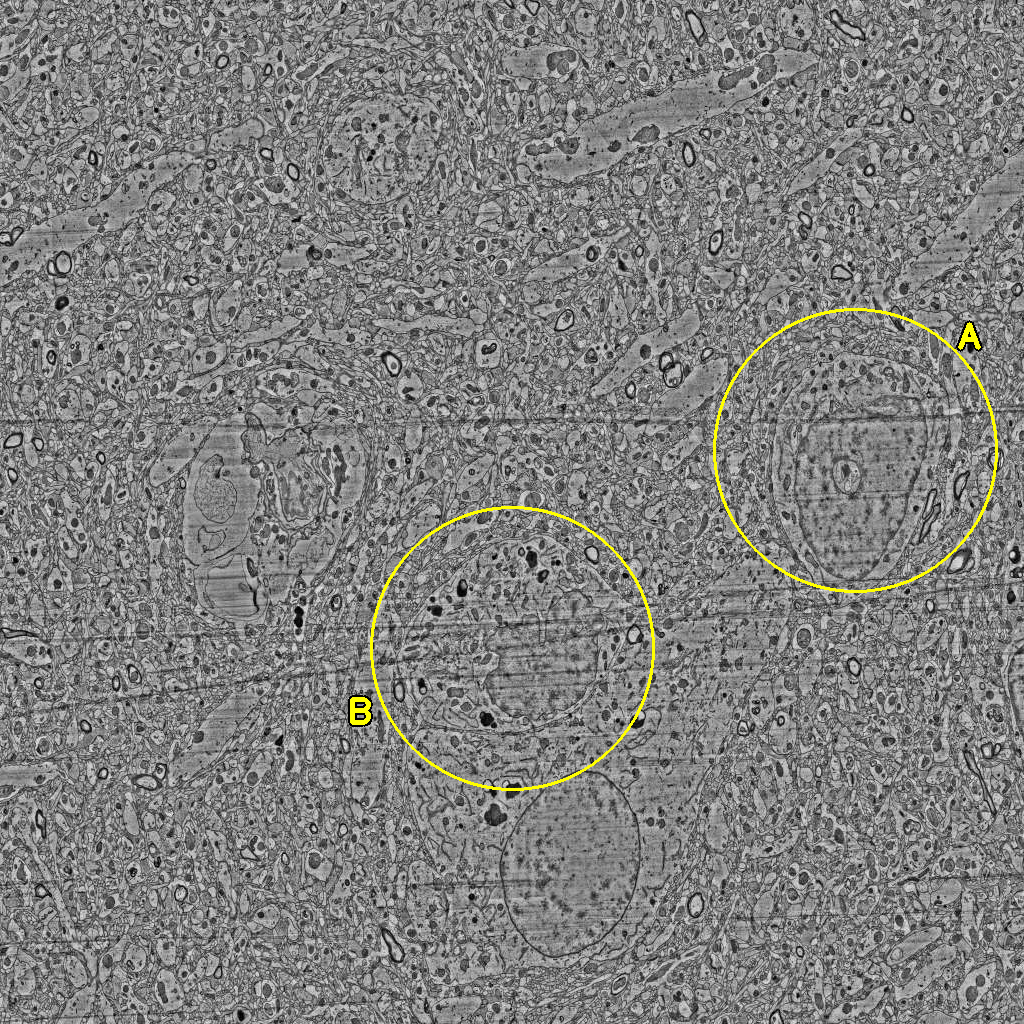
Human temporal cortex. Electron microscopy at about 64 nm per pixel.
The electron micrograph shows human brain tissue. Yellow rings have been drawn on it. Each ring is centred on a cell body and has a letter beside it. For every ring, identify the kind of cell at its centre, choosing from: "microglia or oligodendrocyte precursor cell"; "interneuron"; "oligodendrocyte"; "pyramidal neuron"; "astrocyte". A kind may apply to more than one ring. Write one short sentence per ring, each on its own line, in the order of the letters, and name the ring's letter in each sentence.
Ring A is centred on an interneuron.
Ring B is centred on an interneuron.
